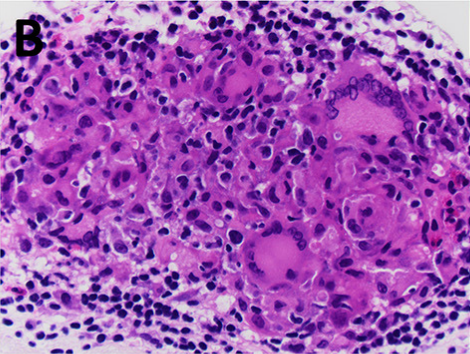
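This is a granuloma composed of epithelioid histiocytes and multinucleated giant cells, surrounded by lymphocytes. Several multinucleated giant cells lie among them, each with a broad pink cytoplasm and many nuclei, some set along the cell's edge. Small lymphocytes with round, dark nuclei and scant cytoplasm form a dense cuff at the periphery. No necrosis is seen in the centre.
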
